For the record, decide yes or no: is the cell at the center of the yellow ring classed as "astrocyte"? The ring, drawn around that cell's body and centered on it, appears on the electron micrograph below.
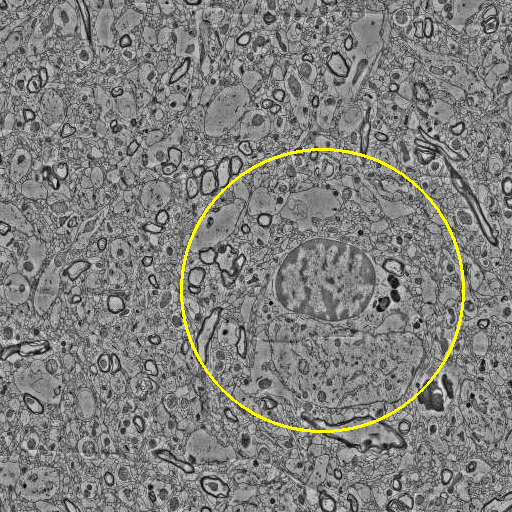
no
